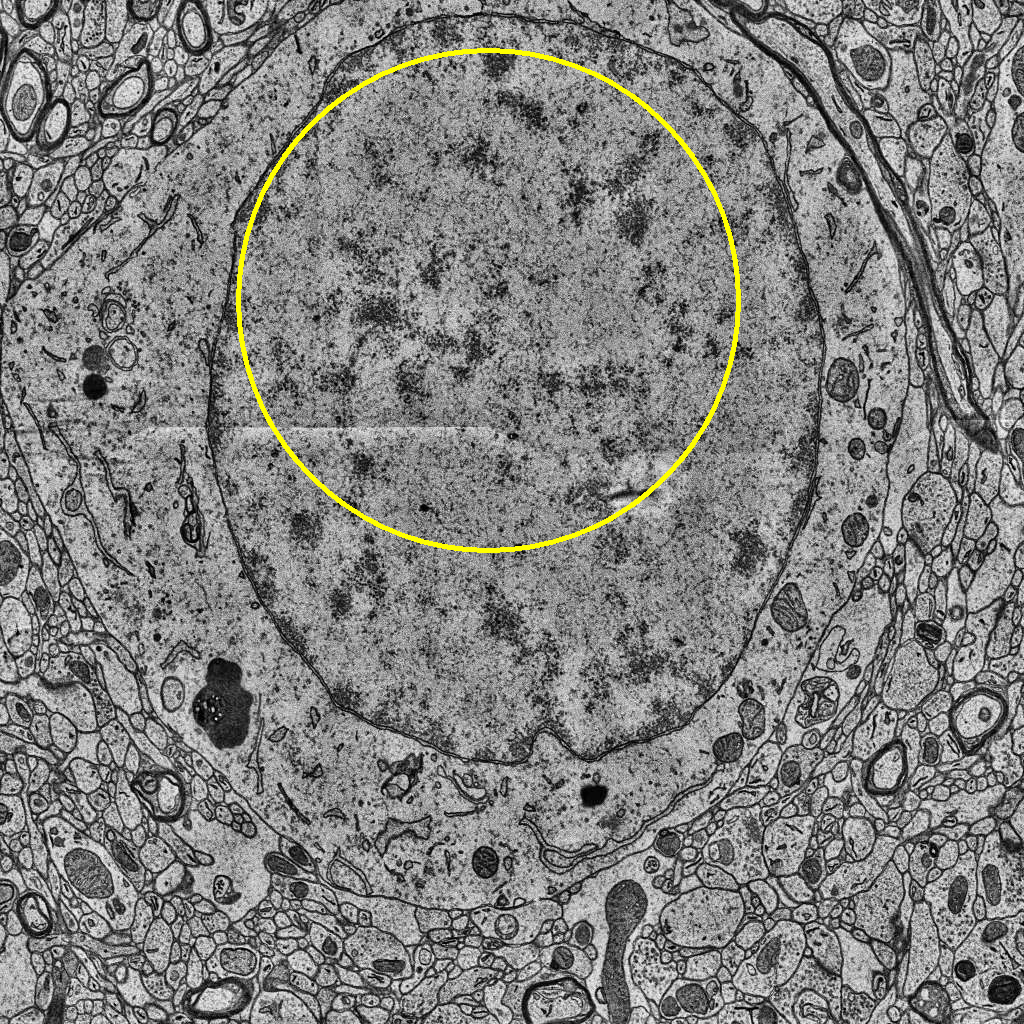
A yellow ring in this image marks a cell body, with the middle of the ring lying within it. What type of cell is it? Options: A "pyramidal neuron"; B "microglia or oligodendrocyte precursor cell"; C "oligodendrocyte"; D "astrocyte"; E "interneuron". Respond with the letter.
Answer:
A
